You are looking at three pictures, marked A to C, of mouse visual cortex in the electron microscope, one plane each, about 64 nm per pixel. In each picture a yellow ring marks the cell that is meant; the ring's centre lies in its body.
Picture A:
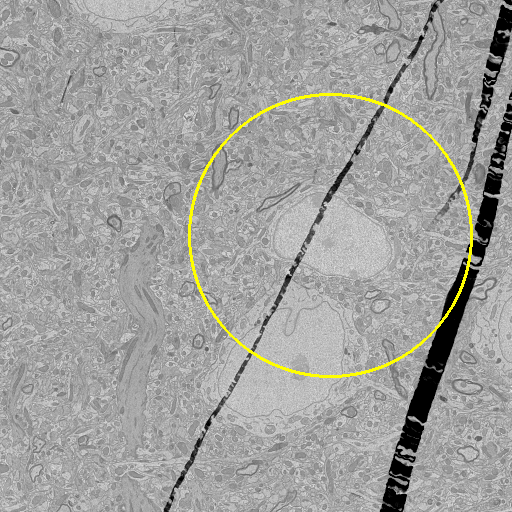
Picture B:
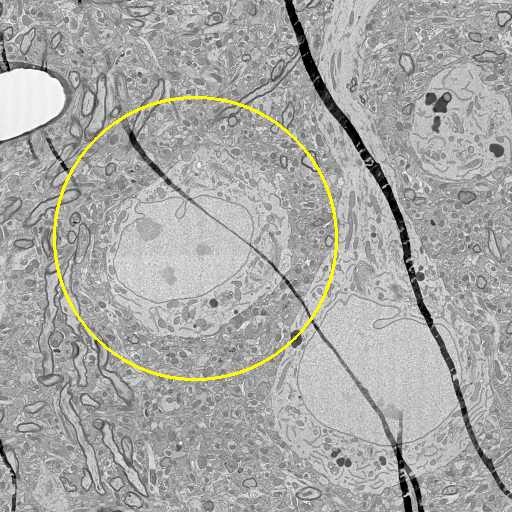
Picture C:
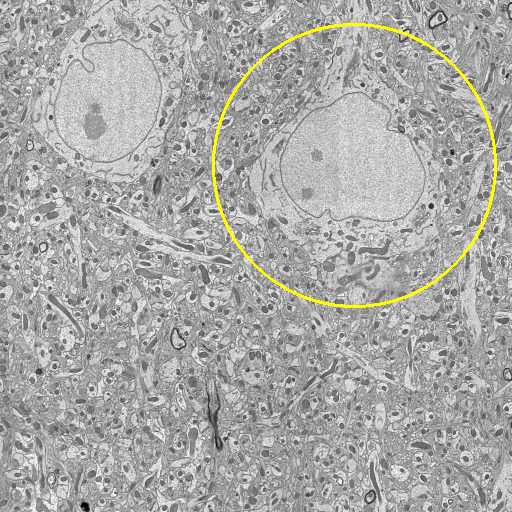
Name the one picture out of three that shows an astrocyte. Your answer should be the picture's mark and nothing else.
A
